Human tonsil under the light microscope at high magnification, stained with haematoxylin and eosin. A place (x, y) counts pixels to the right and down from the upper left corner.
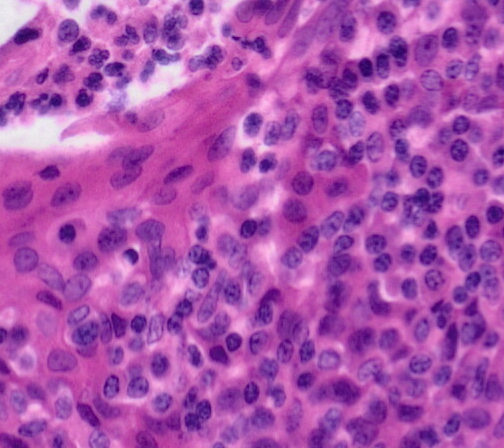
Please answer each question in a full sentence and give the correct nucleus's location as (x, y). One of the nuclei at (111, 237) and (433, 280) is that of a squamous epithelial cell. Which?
The nucleus that belongs to a squamous epithelial cell sits at (111, 237).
